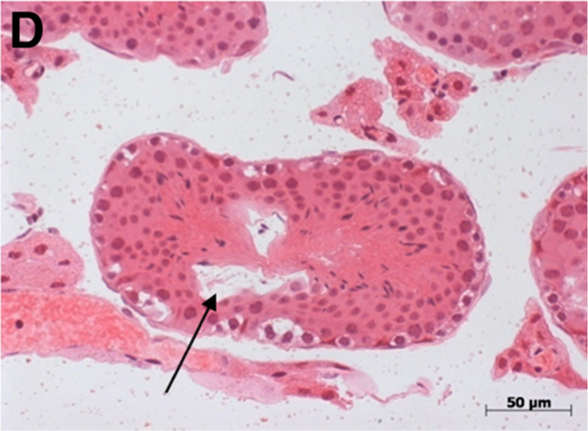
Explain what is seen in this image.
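Transverse section of an elongated, waisted seminiferous tubule in which the germinal epithelium is disrupted. Germ cells with round dark purple nuclei fill the wall, but the inner layers are broken by irregular open clefts around an uneven lumen, where pink material lies loosely. Clear spaces also appear between cells near the base. Dark nuclei are packed densely, the cytoplasm stains deeply pink. Surrounding interstitial tissue holds red blood-filled areas and groups of cells with pink cytoplasm.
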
